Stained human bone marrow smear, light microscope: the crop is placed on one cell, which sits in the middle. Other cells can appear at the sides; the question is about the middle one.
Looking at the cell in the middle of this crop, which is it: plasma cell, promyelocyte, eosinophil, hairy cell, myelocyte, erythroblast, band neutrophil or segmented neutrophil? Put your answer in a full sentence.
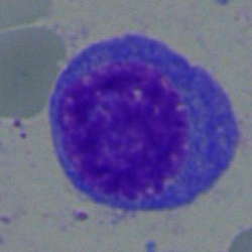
Regarding the central cell, it is a plasma cell.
